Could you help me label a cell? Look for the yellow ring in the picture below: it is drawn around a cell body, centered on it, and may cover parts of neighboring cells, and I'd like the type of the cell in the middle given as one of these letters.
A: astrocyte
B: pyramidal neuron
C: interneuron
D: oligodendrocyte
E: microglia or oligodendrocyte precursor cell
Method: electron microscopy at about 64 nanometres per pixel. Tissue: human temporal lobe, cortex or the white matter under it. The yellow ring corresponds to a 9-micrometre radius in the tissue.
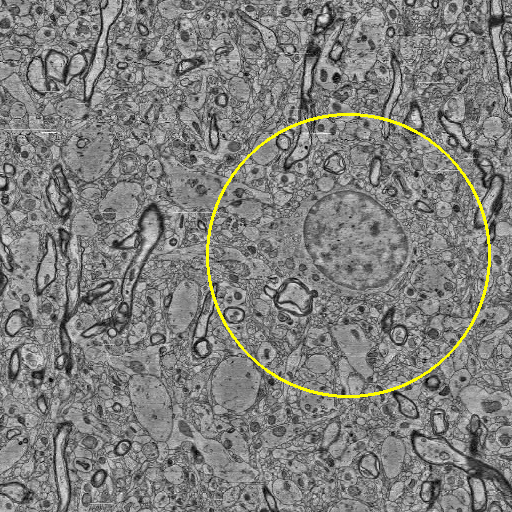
D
